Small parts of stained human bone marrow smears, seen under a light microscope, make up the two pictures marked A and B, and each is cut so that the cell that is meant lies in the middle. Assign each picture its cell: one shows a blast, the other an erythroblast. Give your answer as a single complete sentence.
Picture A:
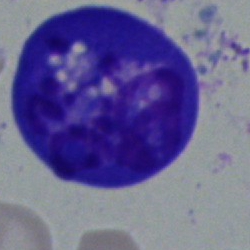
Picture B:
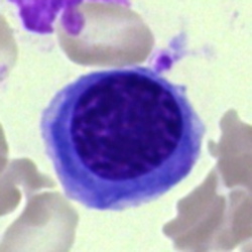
Picture A is of a blast, and picture B is of an erythroblast.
